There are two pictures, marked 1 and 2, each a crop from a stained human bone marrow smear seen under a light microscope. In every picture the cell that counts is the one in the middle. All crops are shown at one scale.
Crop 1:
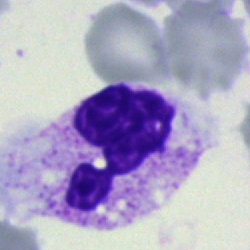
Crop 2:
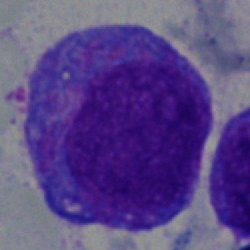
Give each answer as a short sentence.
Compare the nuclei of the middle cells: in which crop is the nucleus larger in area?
The nucleus in crop 2 is larger, with about 2 times the area of the one in crop 1.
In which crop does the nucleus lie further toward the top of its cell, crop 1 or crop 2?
The nucleus in crop 1 lies further toward the top of its cell.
